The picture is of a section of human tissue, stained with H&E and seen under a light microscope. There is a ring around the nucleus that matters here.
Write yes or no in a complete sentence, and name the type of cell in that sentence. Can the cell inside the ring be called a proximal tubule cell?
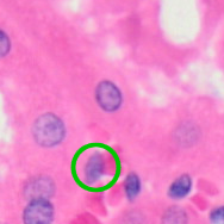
No, the cell inside the ring is reported as an endothelial cell rather than a proximal tubule cell.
